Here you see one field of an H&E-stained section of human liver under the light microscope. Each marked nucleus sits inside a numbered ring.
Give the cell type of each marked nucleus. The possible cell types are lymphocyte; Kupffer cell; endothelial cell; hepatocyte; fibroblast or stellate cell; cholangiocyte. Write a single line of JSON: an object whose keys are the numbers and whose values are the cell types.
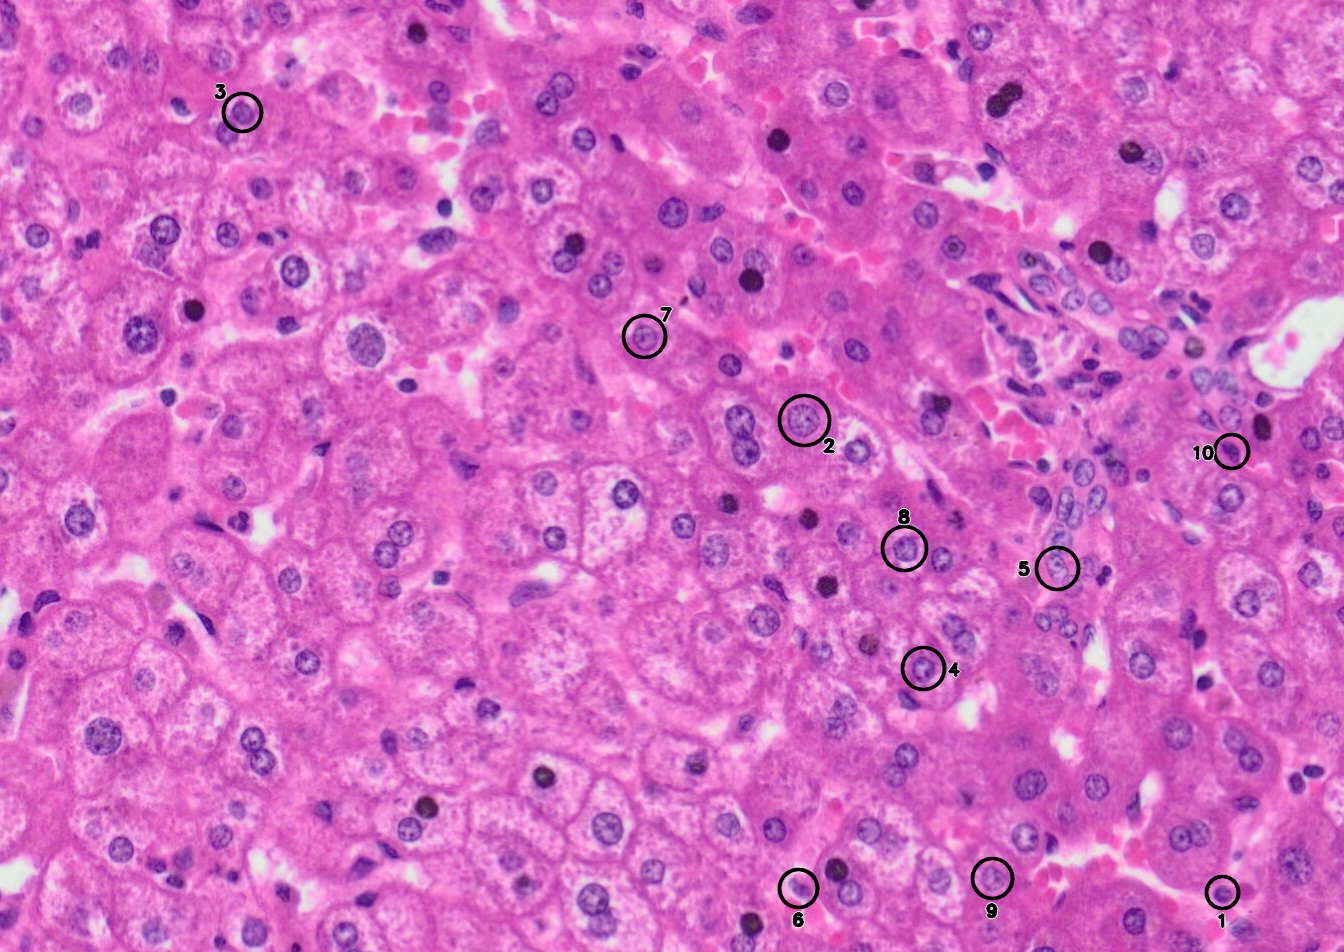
{"1": "lymphocyte", "2": "hepatocyte", "3": "hepatocyte", "4": "hepatocyte", "5": "cholangiocyte", "6": "endothelial cell", "7": "hepatocyte", "8": "hepatocyte", "9": "hepatocyte", "10": "fibroblast or stellate cell"}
